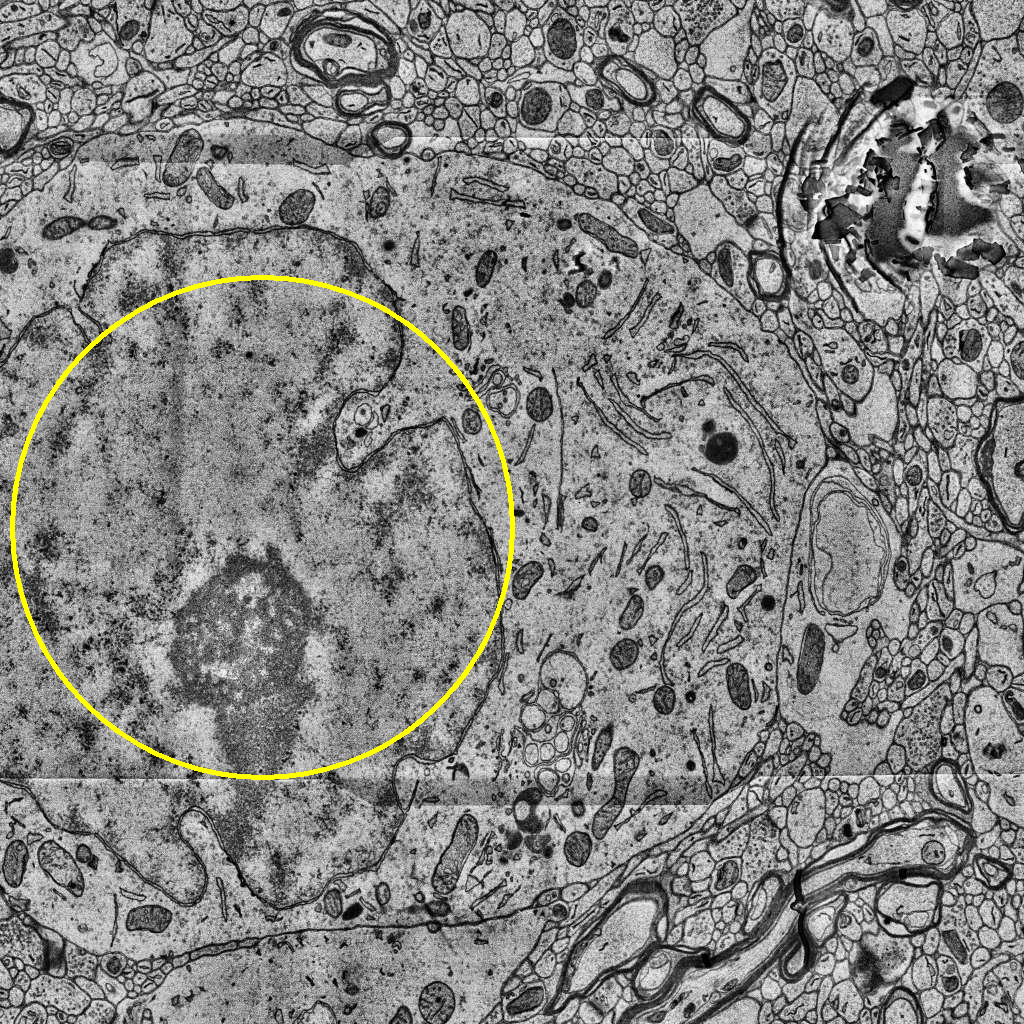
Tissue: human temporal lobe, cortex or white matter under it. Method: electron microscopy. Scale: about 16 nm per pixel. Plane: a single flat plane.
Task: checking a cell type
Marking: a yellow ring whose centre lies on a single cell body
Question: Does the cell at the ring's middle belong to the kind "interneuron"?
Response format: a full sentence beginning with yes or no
Yes, the cell marked at the ring's centre in the picture is of that kind.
